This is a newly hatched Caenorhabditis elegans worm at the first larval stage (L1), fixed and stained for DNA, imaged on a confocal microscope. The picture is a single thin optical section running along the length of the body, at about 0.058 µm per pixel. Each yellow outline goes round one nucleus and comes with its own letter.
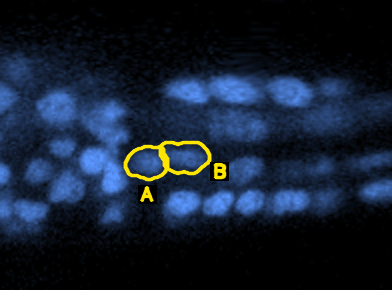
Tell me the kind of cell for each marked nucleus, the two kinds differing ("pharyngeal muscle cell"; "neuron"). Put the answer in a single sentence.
A is the nucleus of a neuron; B is the nucleus of a pharyngeal muscle cell.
